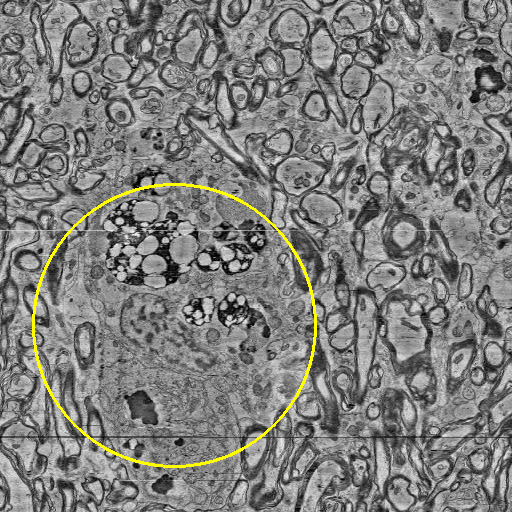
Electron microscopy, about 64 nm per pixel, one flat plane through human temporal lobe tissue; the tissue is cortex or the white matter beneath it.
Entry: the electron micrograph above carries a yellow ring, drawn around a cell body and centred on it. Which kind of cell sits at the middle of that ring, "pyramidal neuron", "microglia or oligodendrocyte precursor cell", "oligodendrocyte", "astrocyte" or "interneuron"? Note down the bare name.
astrocyte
